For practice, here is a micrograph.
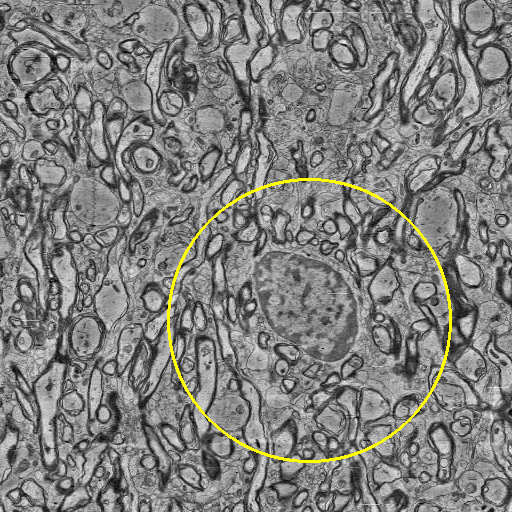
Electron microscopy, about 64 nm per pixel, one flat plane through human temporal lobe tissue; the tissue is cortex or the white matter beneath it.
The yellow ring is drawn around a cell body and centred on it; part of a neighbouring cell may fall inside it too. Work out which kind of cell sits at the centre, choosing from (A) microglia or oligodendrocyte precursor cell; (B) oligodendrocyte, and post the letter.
A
